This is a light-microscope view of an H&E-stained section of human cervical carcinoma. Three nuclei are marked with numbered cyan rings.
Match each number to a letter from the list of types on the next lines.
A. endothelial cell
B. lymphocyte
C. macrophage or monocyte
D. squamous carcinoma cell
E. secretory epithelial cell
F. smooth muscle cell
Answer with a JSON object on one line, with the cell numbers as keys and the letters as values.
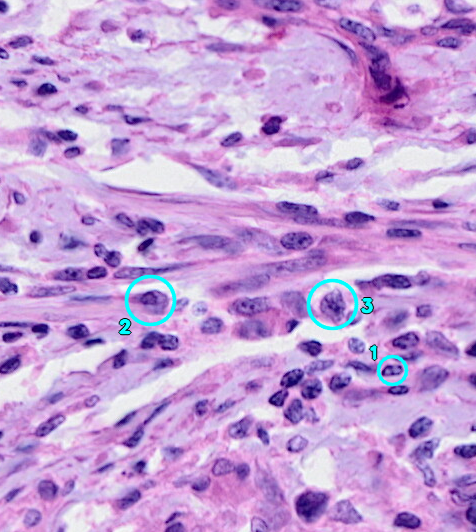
{"1": "B", "2": "C", "3": "C"}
